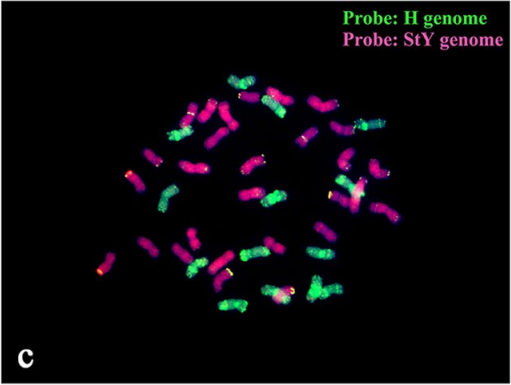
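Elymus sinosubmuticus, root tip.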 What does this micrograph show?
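About a third of the chromosomes are labelled green along their length, and the rest are pink. The green and pink chromosomes are intermixed across the spread rather than grouped. A few chromosomes carry small bright dots near their ends.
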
